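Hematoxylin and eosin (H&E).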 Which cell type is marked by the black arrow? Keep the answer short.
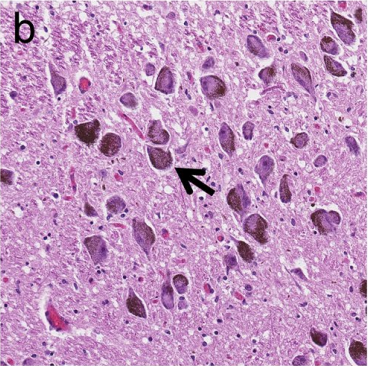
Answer: neuromelanin-containing neurons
